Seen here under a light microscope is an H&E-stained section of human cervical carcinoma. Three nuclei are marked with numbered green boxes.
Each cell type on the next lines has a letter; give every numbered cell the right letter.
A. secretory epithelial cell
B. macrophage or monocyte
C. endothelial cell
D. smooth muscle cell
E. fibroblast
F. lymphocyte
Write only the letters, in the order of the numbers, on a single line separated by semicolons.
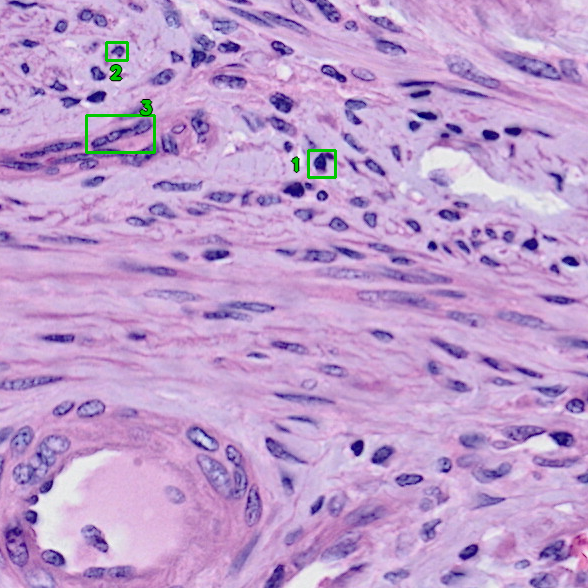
F; D; C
